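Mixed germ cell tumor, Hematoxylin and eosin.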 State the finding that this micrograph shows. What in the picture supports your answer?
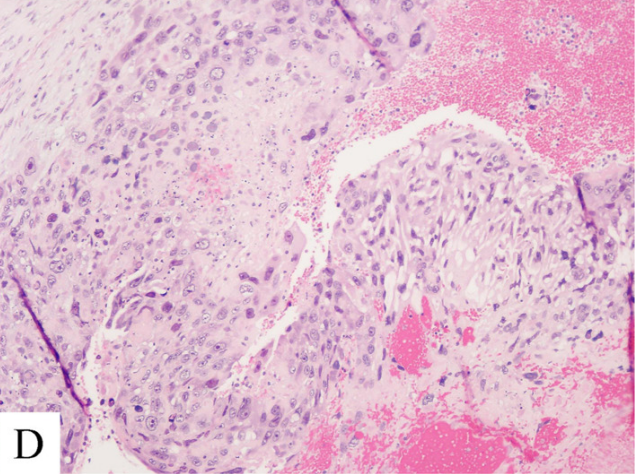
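Sheets of polygonal cells with vesicular nuclei and prominent nucleoli. Large fields of red blood cells next to the tumor cells. Some cells are large with several nuclei.
Hence: choriocarcinoma.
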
